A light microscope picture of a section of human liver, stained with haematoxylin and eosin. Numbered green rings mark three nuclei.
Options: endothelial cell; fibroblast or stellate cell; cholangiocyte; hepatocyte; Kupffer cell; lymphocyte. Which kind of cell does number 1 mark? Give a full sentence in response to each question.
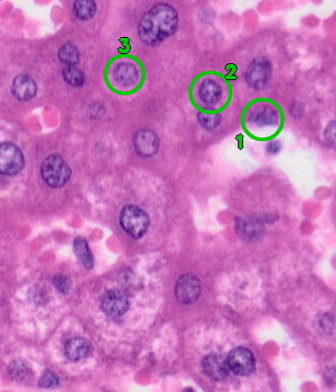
Of the numbered cells, the one labelled 1 is an endothelial cell.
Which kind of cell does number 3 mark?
The cell to which the number 3 is assigned is a hepatocyte.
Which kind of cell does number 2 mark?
Of the numbered cells, the one labelled 2 is a hepatocyte.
